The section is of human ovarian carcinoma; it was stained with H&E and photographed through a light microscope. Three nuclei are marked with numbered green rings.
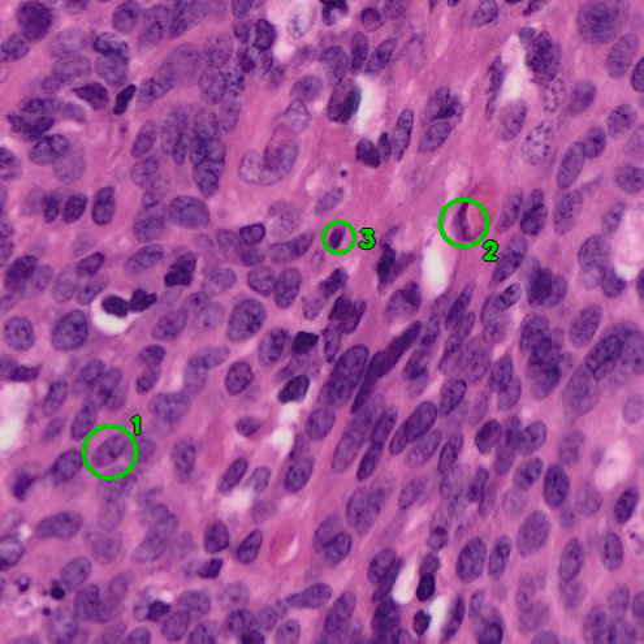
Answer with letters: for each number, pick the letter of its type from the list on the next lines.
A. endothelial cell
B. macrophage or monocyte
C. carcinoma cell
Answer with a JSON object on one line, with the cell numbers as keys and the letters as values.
{"1": "C", "2": "A", "3": "A"}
